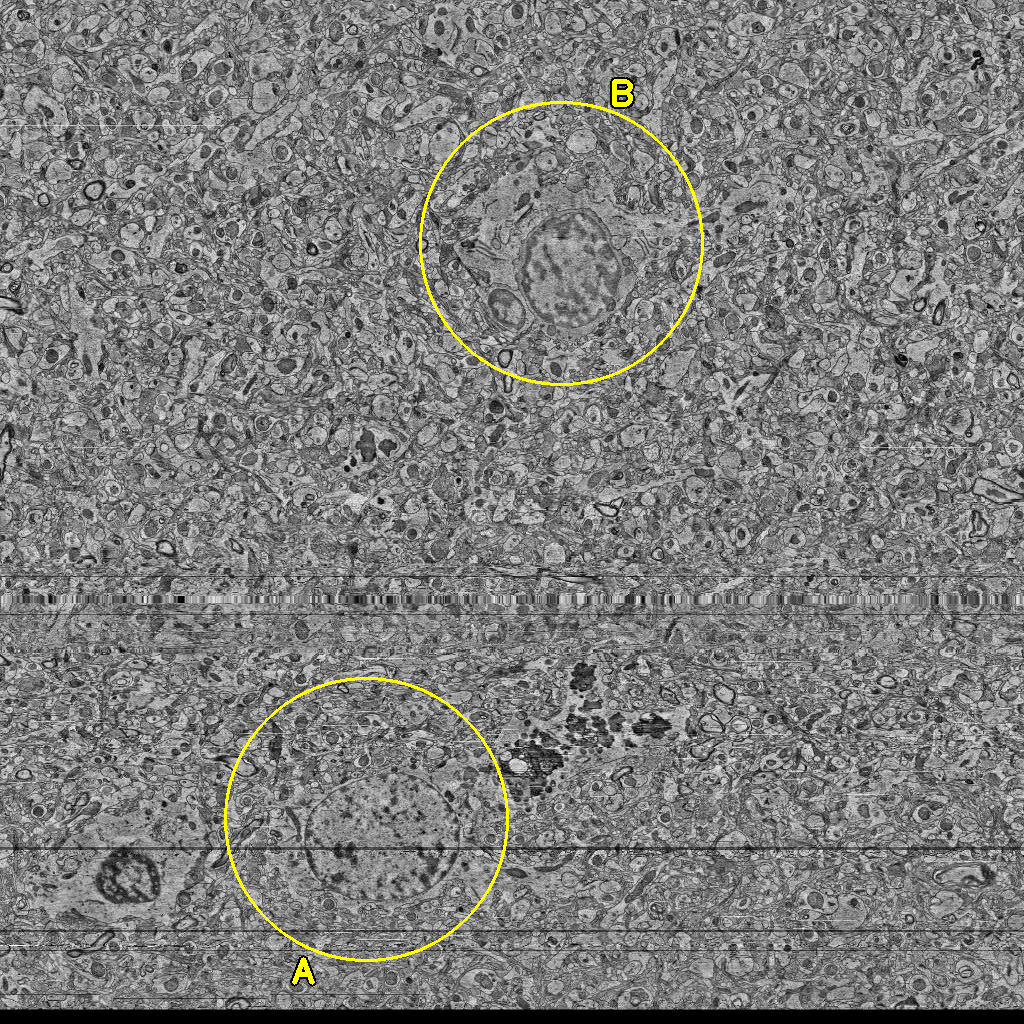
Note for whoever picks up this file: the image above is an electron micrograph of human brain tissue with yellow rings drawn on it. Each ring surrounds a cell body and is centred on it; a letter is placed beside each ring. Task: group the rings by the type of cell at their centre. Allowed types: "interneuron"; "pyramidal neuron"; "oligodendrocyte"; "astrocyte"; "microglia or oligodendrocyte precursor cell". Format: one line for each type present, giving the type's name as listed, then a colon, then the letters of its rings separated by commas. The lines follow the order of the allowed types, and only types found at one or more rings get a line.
oligodendrocyte: B
astrocyte: A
